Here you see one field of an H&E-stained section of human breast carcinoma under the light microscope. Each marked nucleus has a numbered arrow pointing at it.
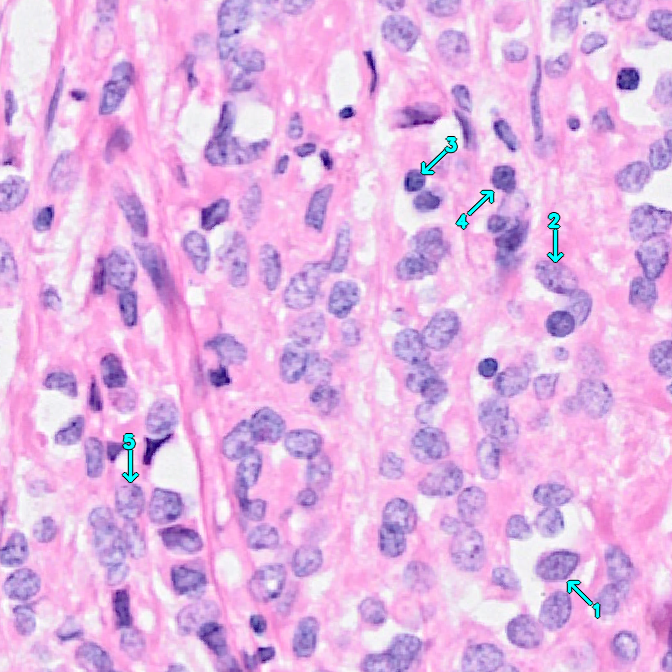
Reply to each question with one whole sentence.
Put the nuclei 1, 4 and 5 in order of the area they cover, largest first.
Going from the biggest nucleus down to the smallest gives 1, 5, 4.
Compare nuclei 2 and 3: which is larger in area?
Nucleus 2 covers more area, about 2 times as much as nucleus 3.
